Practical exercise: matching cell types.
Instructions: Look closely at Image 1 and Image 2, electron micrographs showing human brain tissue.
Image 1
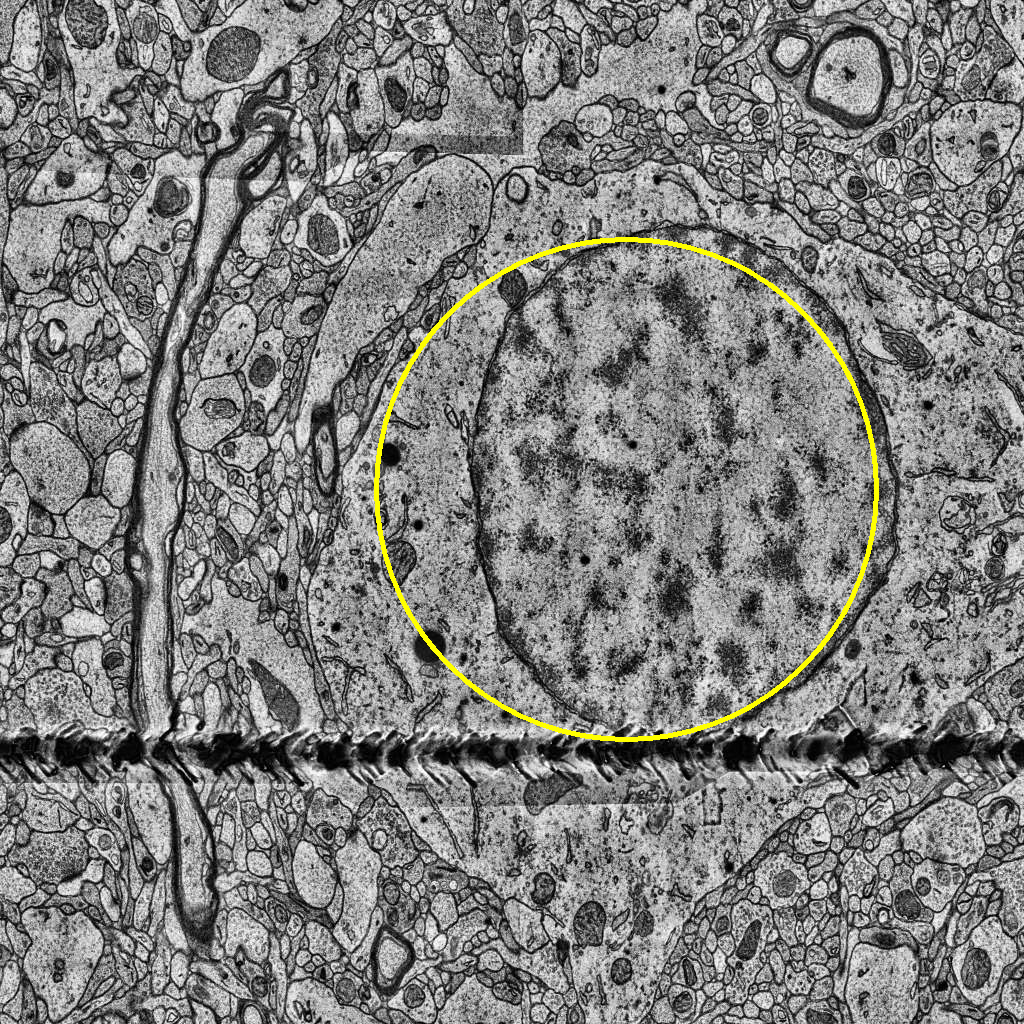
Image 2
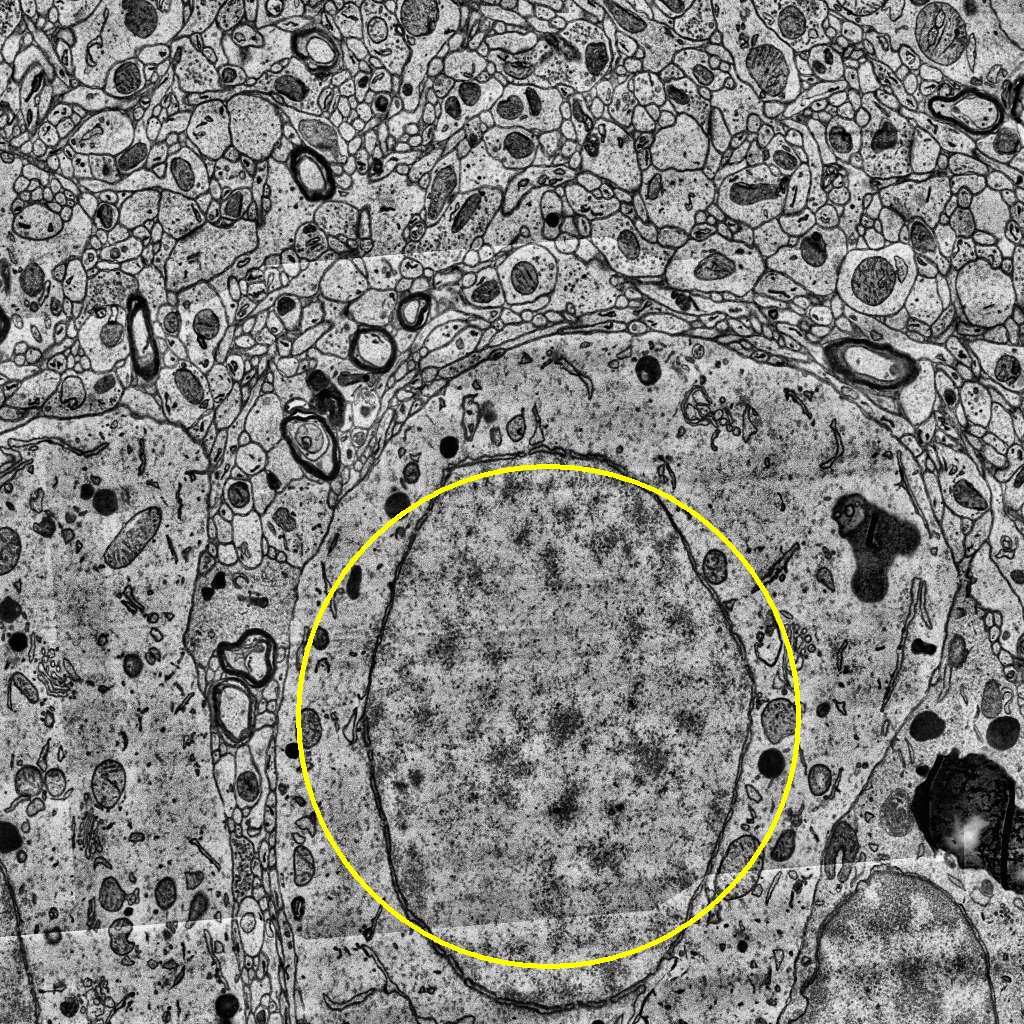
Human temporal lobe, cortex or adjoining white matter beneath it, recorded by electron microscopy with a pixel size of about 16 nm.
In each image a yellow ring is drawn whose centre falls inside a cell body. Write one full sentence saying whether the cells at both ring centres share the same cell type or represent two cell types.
Across Image 1 and Image 2, the cells at the ring centres share the same cell type.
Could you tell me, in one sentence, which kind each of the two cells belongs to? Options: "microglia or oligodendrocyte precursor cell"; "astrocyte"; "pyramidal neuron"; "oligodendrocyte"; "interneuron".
The cell at the ring centre is a pyramidal neuron in both pictures.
